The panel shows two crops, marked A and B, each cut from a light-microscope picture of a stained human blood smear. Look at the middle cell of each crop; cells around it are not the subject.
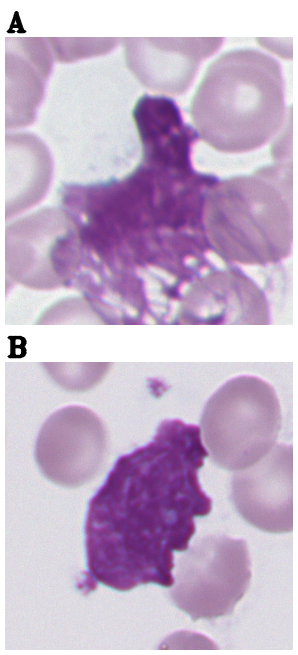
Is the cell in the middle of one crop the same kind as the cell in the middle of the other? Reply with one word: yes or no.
yes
